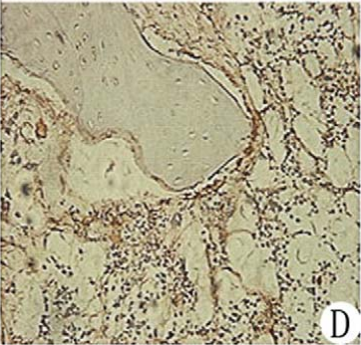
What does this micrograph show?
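The tissue between the trabeculae holds many small cells with dark nuclei set in a loose light brown-stained network. Brown staining is strongest in a thin layer along the bone surface and in strands running through the cellular tissue. The bone matrix itself stays pale apart from its small lacunae.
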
